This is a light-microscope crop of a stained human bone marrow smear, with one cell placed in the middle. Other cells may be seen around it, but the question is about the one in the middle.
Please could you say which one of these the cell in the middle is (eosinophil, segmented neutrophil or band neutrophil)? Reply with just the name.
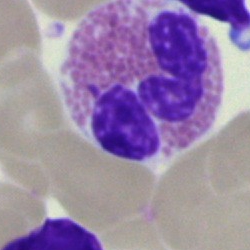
eosinophil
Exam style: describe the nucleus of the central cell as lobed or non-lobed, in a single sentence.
If you check the nucleus, you will find it split into two or more lobes.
